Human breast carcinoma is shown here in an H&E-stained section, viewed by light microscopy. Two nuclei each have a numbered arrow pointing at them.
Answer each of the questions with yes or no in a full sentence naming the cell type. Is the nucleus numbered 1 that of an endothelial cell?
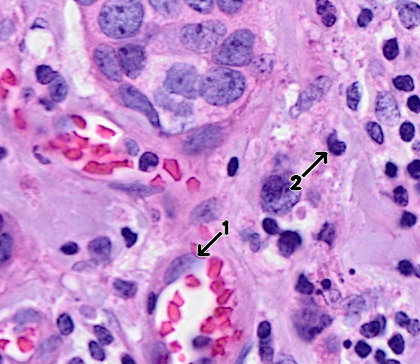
Yes, that is so; number 1 marks an endothelial cell.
